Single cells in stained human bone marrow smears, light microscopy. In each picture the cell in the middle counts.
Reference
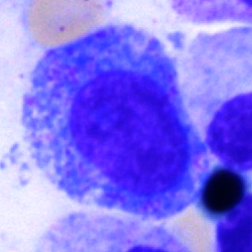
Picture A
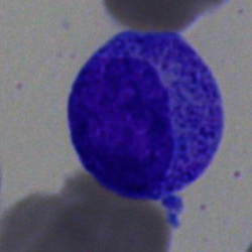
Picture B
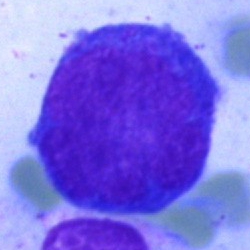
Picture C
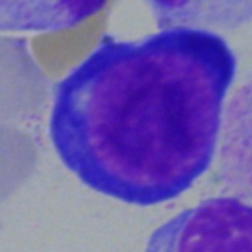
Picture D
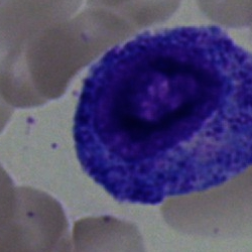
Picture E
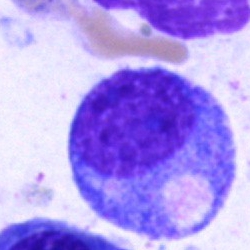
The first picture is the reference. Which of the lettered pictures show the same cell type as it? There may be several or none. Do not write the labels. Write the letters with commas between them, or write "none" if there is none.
A, D, E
